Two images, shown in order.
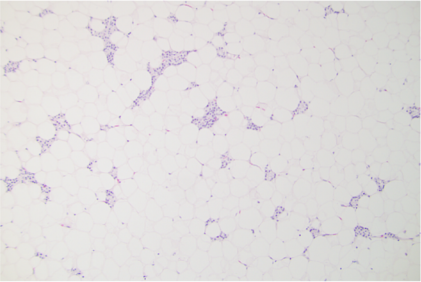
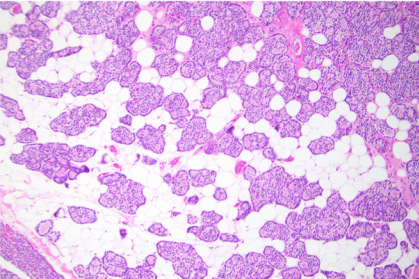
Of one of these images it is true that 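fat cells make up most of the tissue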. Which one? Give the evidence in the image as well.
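Second image: purple cellular nests occupy most of the field, with smaller fat cells between them. First image: large clear fat cells fill nearly the whole field, with only small scattered purple cell clusters. So: the first image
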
